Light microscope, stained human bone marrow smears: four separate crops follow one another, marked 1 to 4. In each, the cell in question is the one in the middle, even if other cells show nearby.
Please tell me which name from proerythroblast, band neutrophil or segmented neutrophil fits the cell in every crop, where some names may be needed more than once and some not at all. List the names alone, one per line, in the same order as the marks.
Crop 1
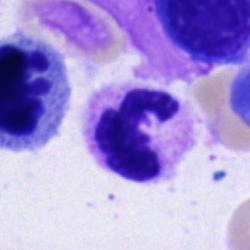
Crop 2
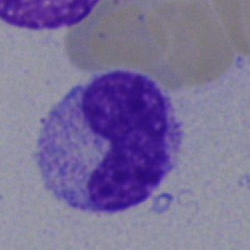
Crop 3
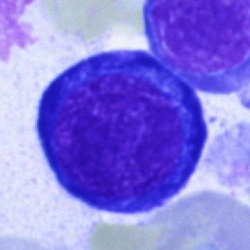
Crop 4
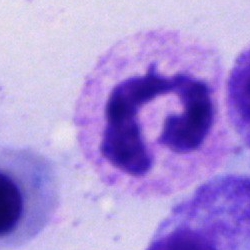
segmented neutrophil
band neutrophil
proerythroblast
segmented neutrophil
